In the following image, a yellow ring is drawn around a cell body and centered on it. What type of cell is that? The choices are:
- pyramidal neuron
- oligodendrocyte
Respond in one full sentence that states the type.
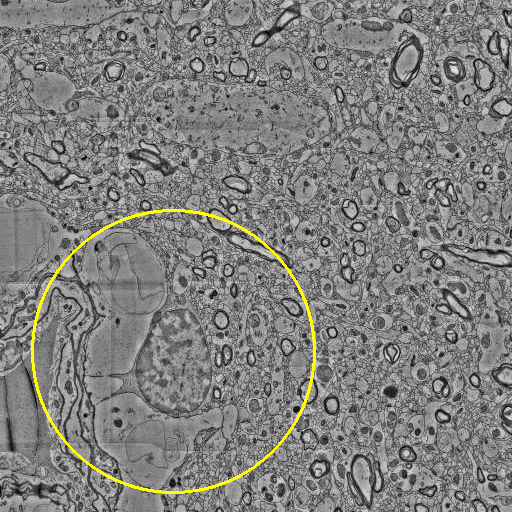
The cell at the center of the yellow ring in the image is an oligodendrocyte.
